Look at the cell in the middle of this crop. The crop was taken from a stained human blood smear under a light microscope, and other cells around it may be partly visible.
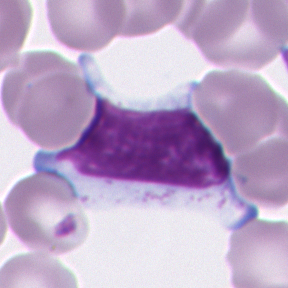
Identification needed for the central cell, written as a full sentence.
Framed in the middle of the crop is a typical lymphocyte.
